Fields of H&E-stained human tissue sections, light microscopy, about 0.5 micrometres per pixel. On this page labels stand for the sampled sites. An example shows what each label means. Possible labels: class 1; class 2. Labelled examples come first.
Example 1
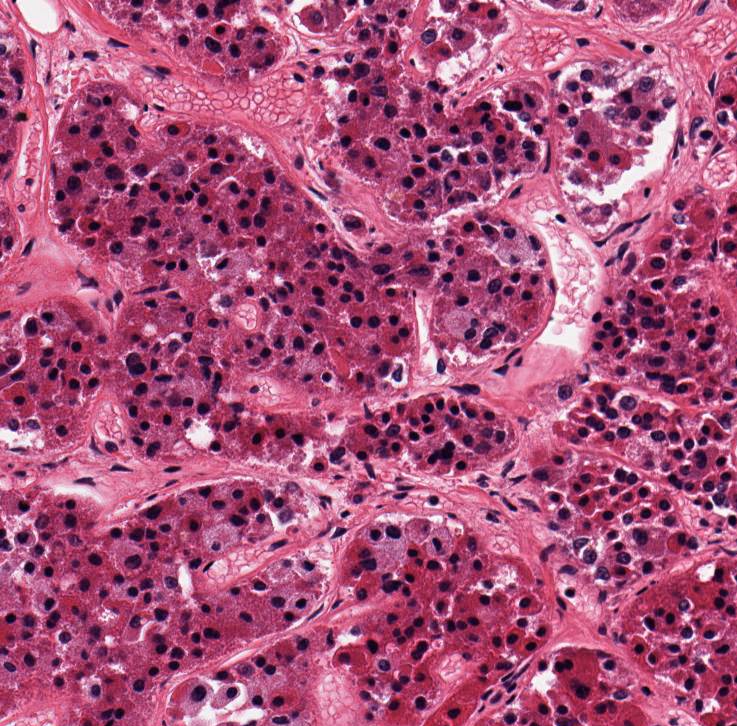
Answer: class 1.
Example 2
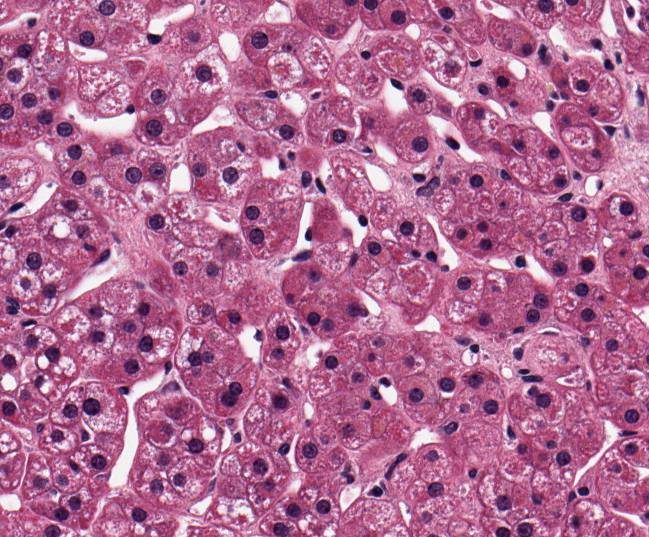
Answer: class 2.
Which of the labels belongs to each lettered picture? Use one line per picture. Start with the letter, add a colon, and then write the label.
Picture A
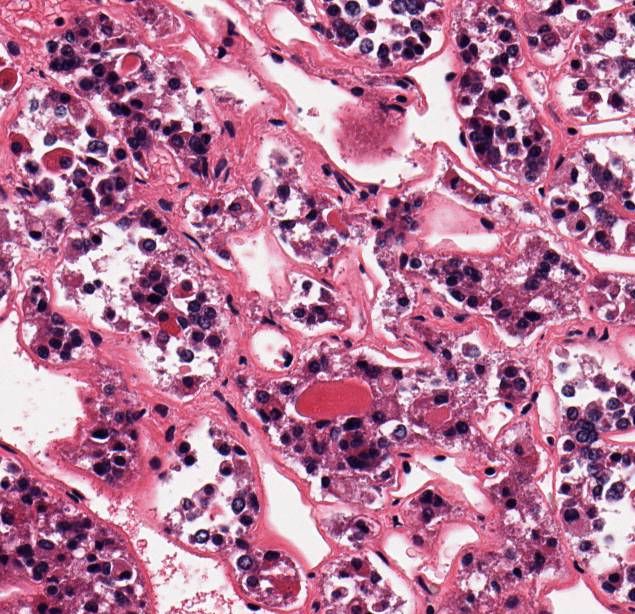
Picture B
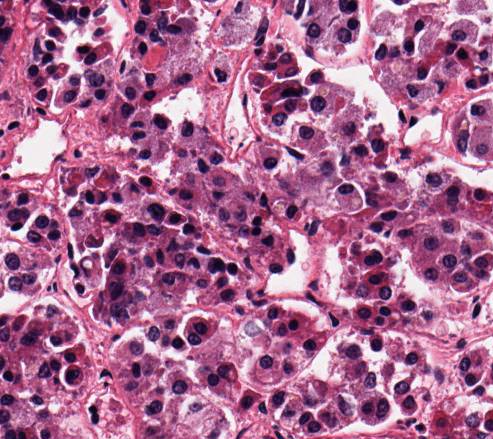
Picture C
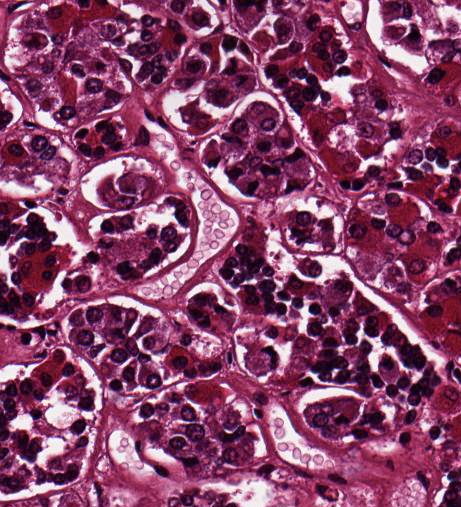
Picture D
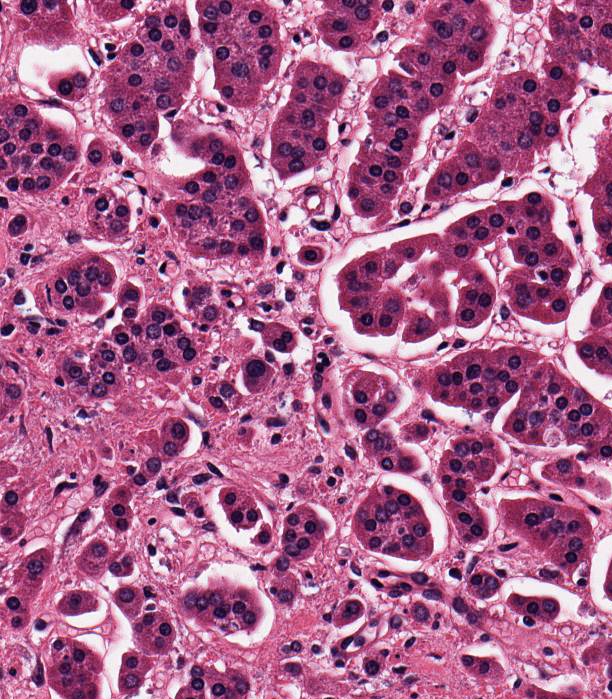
A: class 1.
B: class 1.
C: class 1.
D: class 2.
